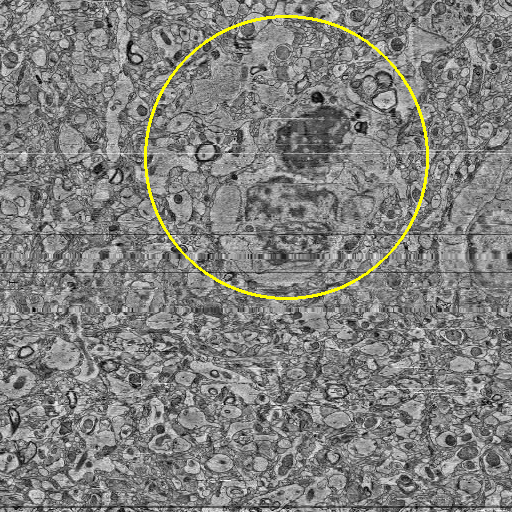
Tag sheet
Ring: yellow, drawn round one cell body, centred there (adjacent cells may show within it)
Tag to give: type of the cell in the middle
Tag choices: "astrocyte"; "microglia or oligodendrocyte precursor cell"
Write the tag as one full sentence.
I tag the cell centred in the yellow ring as a microglial cell or oligodendrocyte precursor cell in this picture.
